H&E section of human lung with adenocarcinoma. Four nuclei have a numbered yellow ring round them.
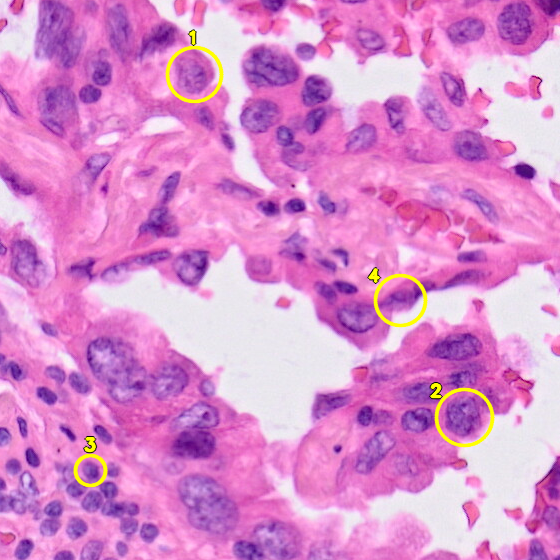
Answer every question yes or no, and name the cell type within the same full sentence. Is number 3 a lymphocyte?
Yes, regarding number 3, the cell is a lymphocyte.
